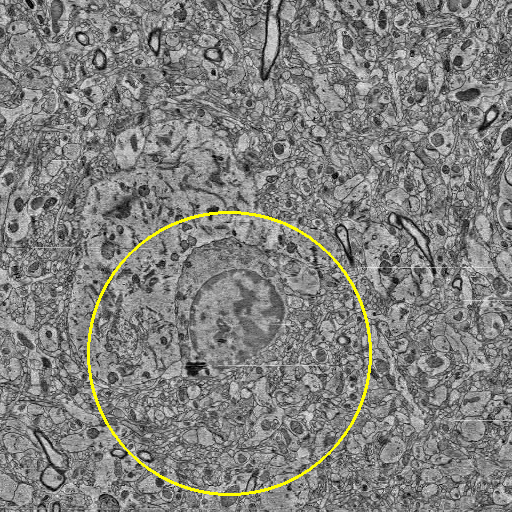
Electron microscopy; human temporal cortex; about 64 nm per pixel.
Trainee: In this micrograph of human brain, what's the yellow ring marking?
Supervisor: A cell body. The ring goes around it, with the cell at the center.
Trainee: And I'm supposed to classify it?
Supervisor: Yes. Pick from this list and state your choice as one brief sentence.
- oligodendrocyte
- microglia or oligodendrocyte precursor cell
The cell at the ring's center is an oligodendrocyte.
